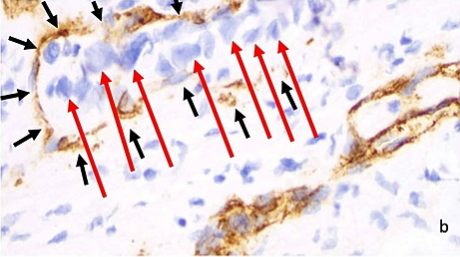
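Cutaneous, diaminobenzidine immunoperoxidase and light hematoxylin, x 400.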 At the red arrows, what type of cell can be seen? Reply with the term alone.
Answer: Neoplastic cells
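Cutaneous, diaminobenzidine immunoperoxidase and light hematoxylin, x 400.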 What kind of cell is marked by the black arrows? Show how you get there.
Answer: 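The black arrows point to thin brown-stained linings. The brown linings outline channel-like spaces. Similar brown-lined channels appear elsewhere in the panel.
Conclusion: vascular endothelial cells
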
